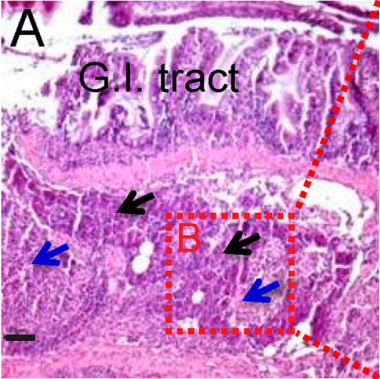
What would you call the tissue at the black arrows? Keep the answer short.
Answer: Acinar structure of pancreas.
